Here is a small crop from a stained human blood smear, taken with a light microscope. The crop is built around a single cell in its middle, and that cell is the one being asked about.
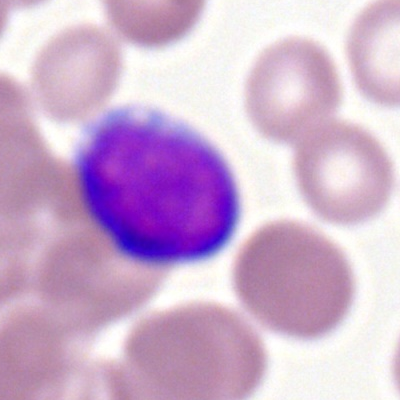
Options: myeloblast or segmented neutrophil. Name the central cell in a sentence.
At the middle of the frame sits a myeloblast.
